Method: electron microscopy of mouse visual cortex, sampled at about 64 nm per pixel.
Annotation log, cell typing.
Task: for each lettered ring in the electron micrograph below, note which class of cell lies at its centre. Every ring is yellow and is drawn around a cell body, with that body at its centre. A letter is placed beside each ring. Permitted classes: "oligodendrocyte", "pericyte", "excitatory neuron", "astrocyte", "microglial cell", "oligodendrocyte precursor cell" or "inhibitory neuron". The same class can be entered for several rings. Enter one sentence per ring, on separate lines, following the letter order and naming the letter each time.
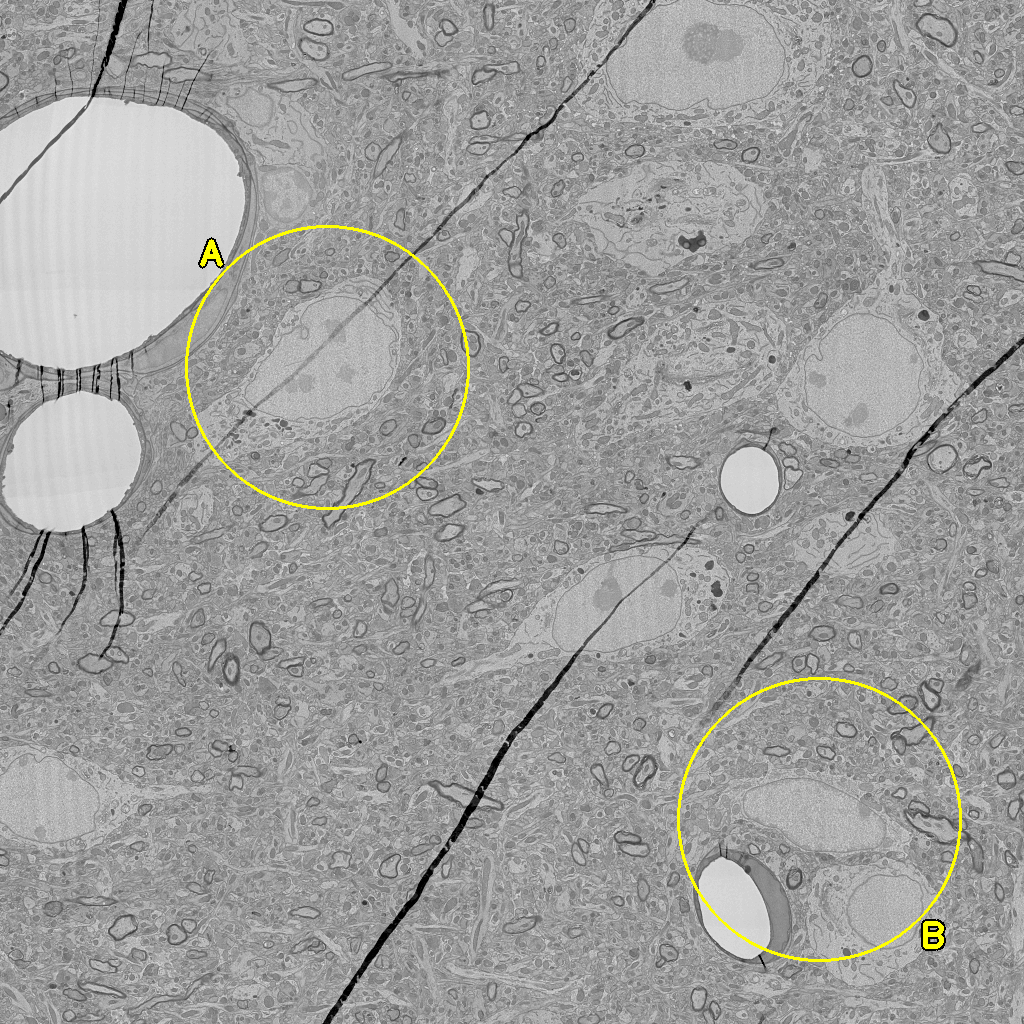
The cell at the centre of ring A is an inhibitory neuron.
The cell at the centre of ring B is an astrocyte.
